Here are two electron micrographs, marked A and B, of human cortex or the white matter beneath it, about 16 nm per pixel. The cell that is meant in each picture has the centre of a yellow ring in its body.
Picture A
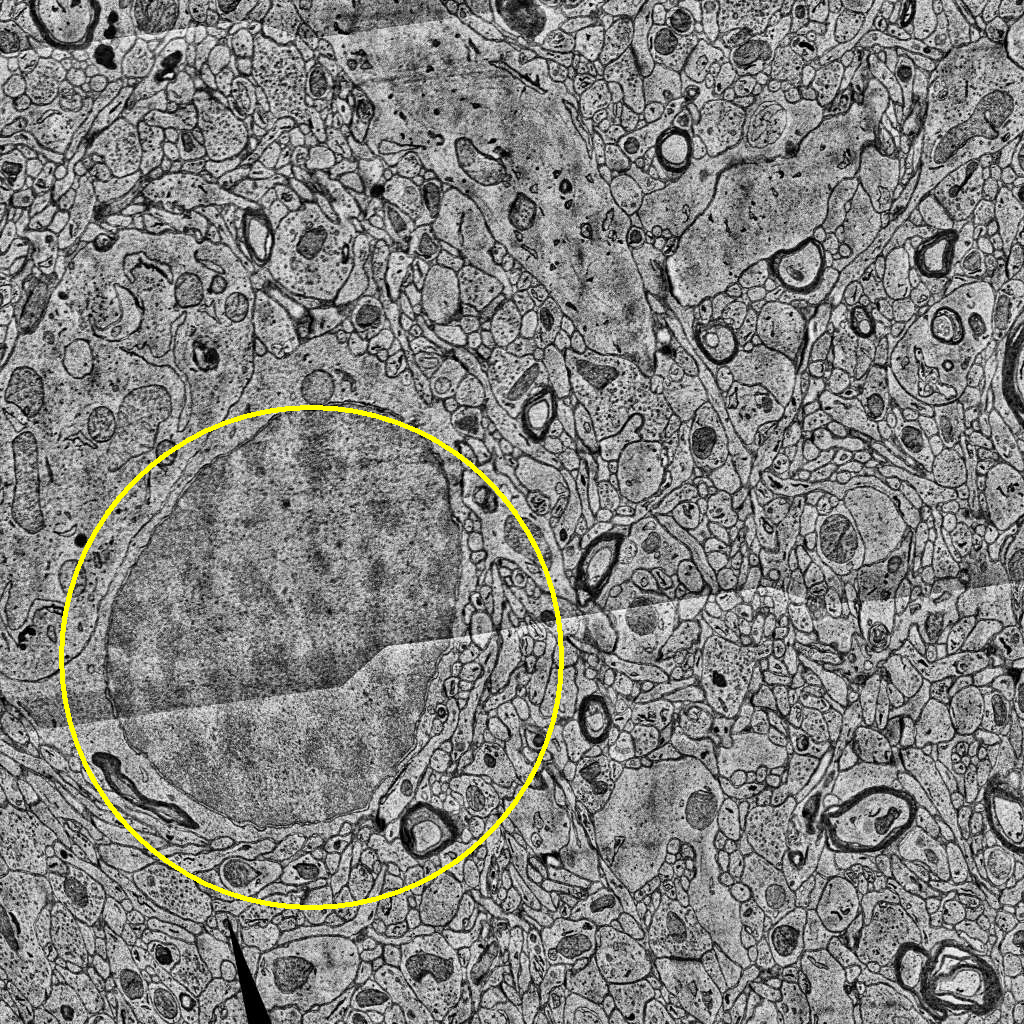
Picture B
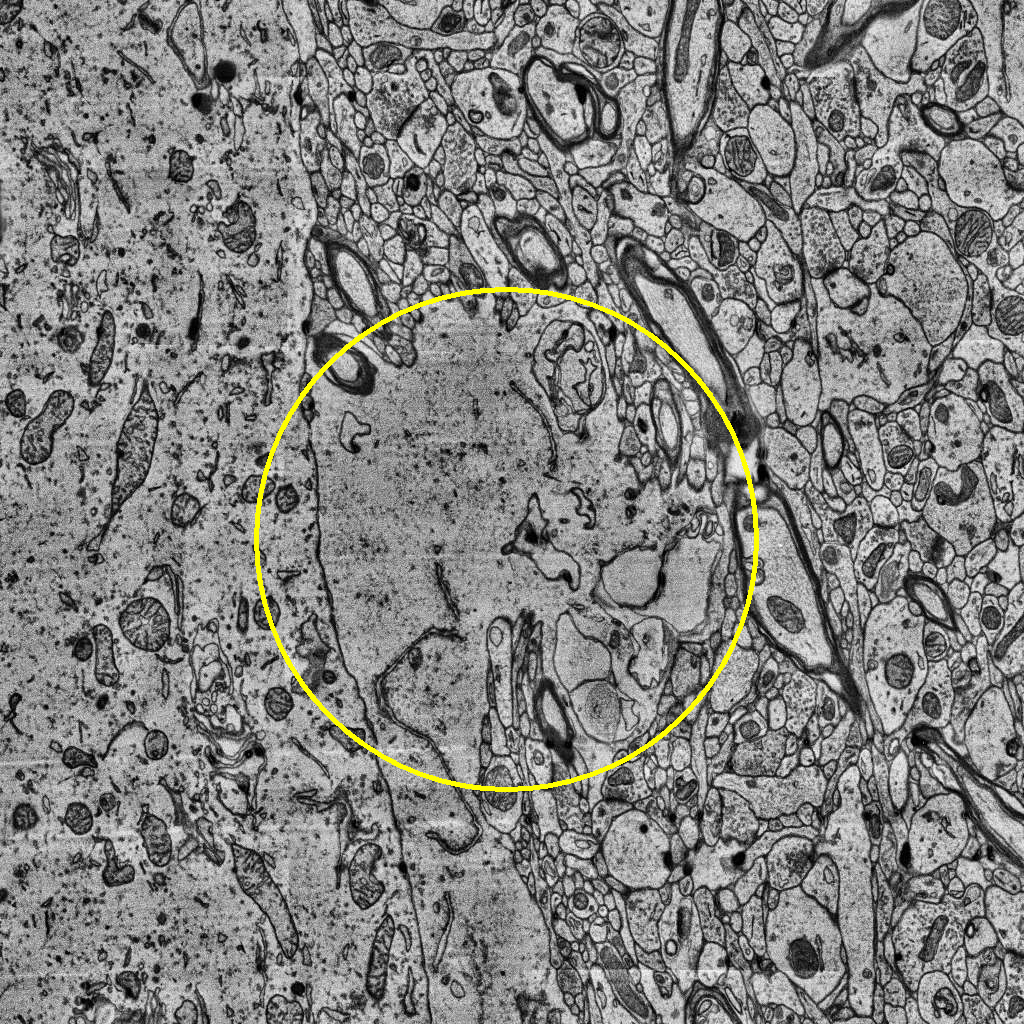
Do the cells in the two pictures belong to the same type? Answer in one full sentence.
No; the cell in picture A is an oligodendrocyte, while the one in picture B is an astrocyte.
